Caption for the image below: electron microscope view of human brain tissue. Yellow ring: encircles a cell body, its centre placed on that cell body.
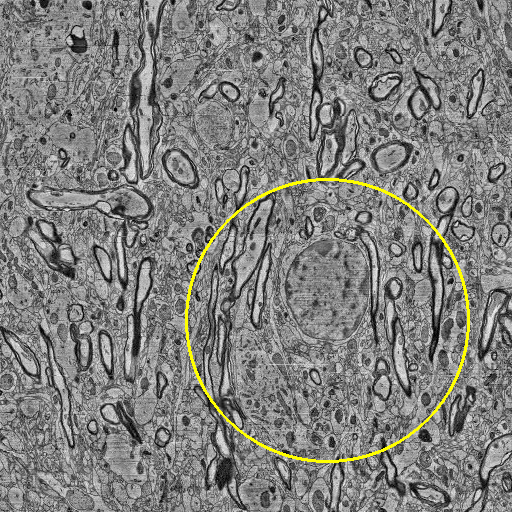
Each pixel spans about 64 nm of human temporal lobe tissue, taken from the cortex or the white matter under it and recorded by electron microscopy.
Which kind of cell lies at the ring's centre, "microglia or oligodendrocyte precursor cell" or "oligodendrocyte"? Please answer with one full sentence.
The picture shows a microglial cell or oligodendrocyte precursor cell at the centre of the yellow ring.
